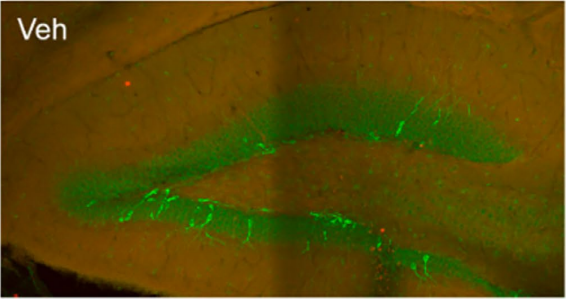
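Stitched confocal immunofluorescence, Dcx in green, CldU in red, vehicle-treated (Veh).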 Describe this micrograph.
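This is a section of the dentate gyrus, with the granule cell layer forming a V-shaped band with an upper and a lower blade. A modest number of green cells sit at the inner border of the band, sending thin processes up through the layer toward the molecular layer. Red nuclei are sparse, with only a few isolated dots in the field.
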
